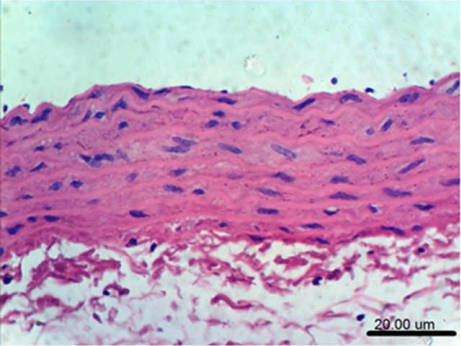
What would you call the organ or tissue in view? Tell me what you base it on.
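Several parallel wavy pink lamellae form a thick vessel wall. Elongated, flattened nuclei lie between the lamellae. Loose wavy connective tissue lies beneath the wall. That points to this answer: aorta.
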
